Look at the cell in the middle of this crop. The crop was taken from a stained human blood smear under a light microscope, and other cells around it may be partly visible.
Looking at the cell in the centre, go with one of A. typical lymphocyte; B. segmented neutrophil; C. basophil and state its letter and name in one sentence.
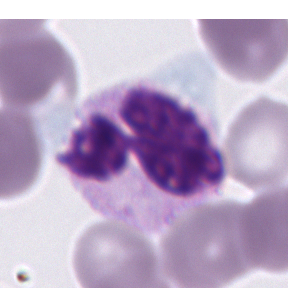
Option B stands as correct, the central cell being a segmented neutrophil.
